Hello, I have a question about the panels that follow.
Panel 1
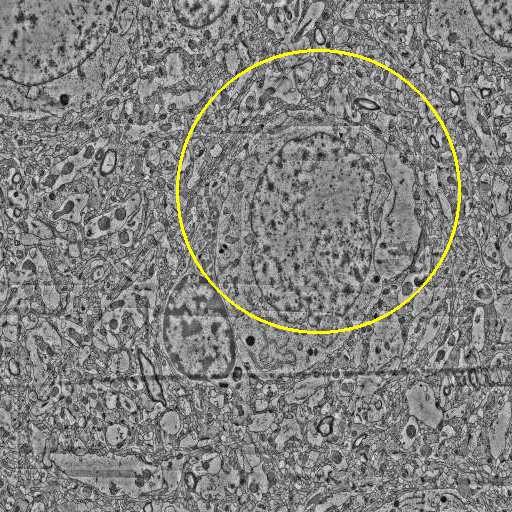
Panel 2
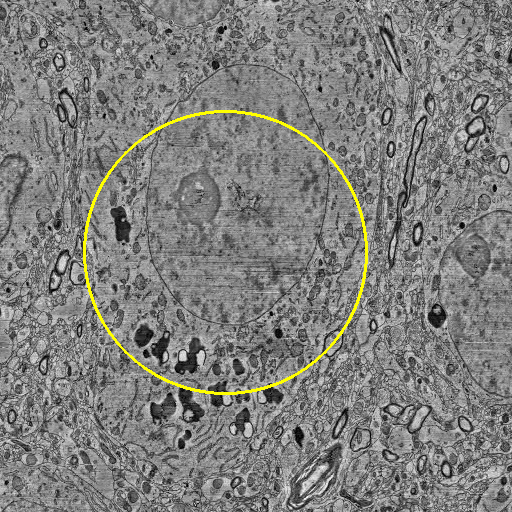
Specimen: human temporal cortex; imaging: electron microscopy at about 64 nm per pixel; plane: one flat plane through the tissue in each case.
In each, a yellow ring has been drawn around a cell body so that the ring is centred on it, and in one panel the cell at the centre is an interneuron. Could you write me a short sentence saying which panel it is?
It is Panel 1.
